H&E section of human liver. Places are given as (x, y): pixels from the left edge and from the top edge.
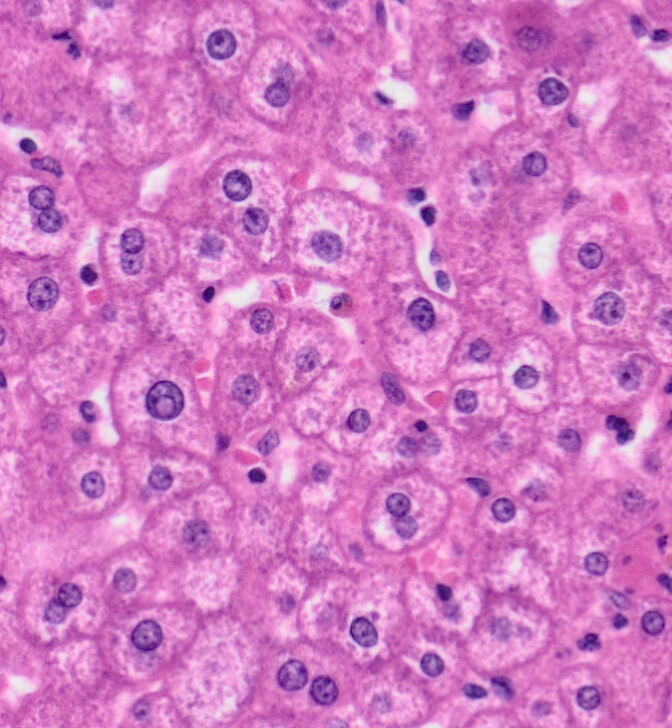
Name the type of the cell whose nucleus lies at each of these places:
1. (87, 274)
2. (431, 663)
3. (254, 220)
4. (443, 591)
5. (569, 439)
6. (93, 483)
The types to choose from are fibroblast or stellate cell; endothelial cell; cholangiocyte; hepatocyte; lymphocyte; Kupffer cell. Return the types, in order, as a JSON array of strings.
["lymphocyte", "hepatocyte", "hepatocyte", "fibroblast or stellate cell", "hepatocyte", "hepatocyte"]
